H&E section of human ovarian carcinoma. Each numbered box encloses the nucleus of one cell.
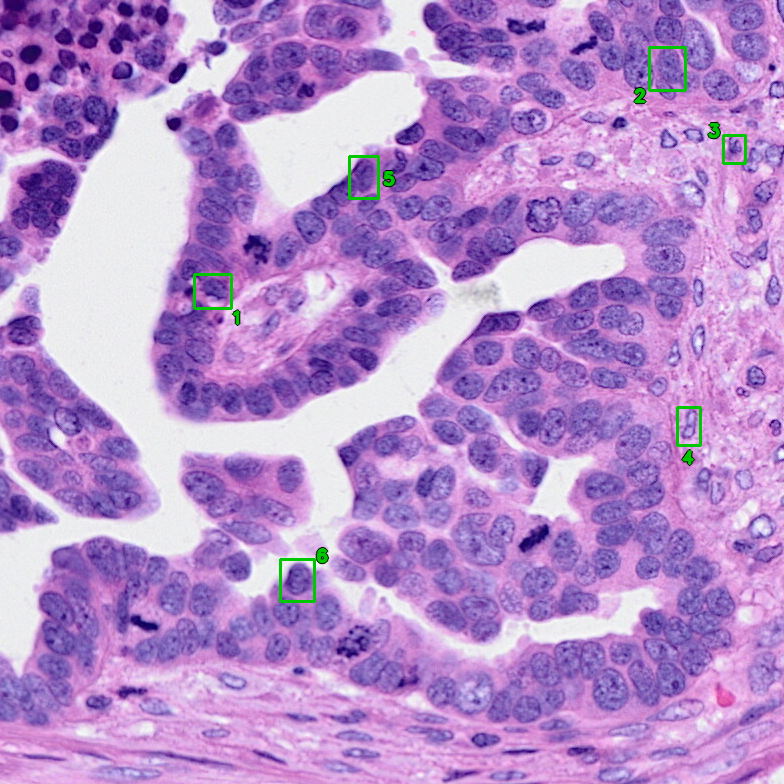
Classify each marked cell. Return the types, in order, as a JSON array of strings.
["carcinoma cell", "carcinoma cell", "fibroblast", "fibroblast", "carcinoma cell", "carcinoma cell"]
